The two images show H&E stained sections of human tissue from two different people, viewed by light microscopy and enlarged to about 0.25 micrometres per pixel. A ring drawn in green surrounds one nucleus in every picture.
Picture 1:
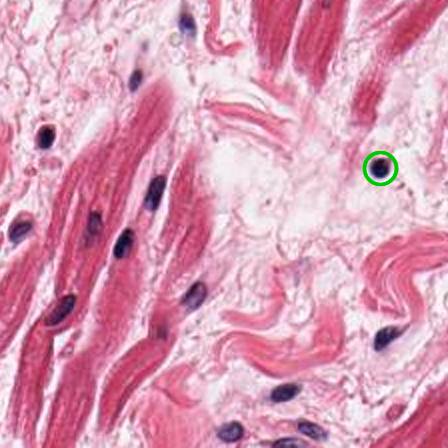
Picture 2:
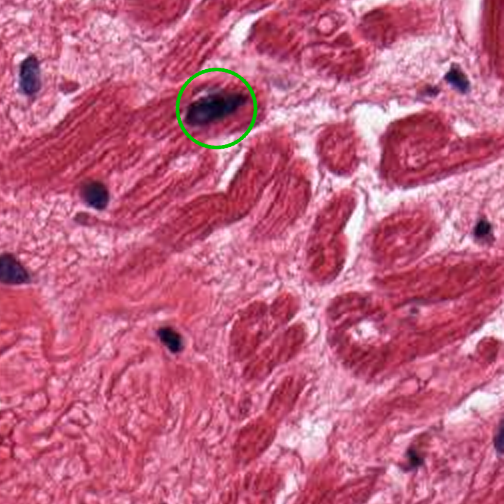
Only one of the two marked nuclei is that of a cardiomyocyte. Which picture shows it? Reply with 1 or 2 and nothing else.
2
